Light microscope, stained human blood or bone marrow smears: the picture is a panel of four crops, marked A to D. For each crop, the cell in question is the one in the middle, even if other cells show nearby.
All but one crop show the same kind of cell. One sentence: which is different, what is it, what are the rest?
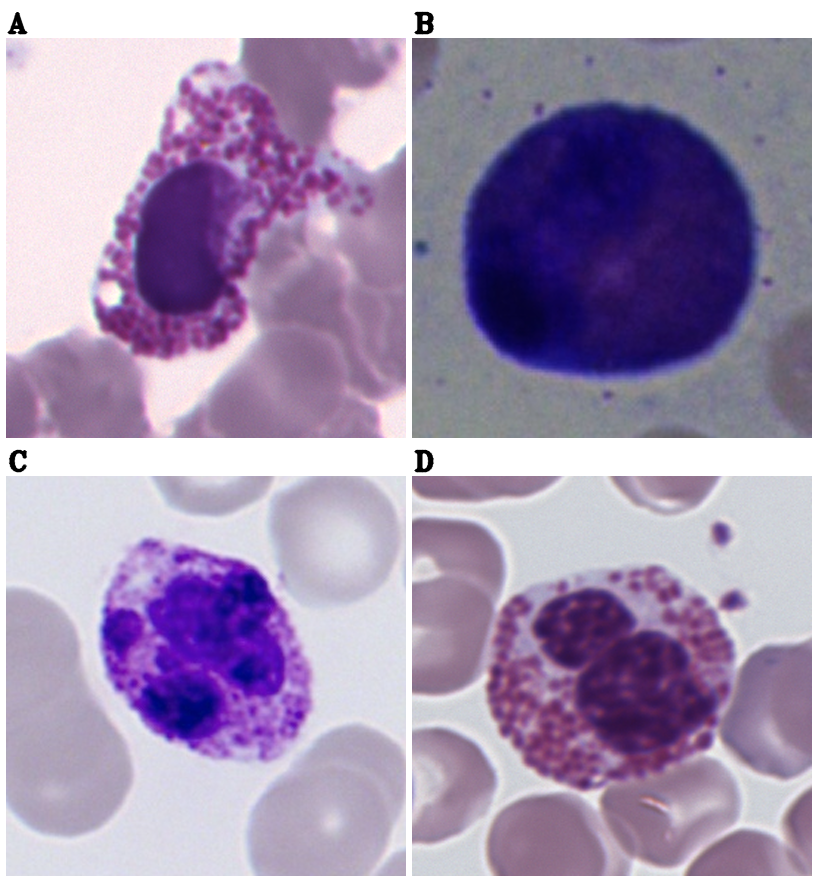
The set is made up of eosinophils, with the single exception of crop C, which is a basophil.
